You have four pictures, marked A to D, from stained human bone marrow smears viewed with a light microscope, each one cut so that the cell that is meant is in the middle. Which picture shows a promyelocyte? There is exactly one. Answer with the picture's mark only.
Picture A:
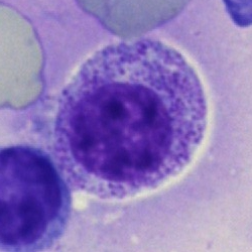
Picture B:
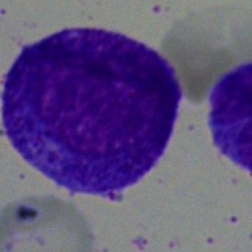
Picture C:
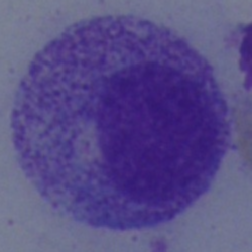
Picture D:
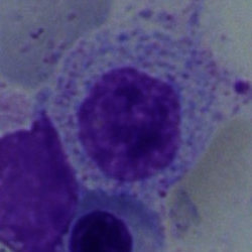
B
